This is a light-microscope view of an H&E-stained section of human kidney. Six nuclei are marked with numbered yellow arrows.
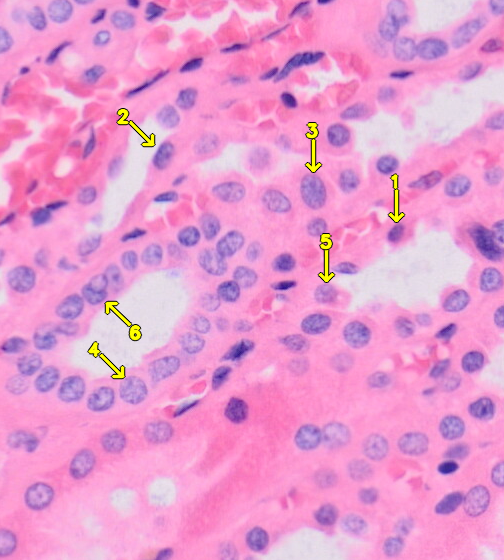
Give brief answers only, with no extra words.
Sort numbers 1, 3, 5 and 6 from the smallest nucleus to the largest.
1, 5, 6, 3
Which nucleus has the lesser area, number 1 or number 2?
1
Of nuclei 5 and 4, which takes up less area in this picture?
5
